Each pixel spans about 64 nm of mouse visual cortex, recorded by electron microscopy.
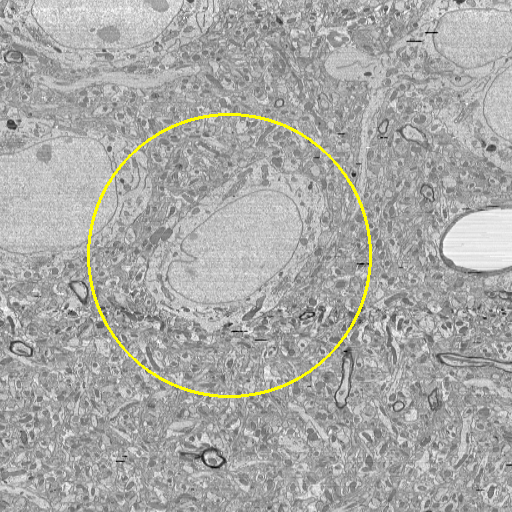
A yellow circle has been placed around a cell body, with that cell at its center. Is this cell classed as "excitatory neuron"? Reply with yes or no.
Yes, it belongs to that class.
